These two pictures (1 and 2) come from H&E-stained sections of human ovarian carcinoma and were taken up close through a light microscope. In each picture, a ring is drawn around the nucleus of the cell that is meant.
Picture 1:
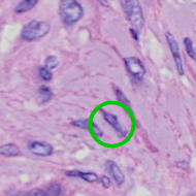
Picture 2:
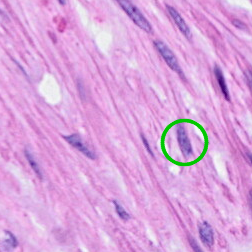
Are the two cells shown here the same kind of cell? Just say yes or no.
yes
